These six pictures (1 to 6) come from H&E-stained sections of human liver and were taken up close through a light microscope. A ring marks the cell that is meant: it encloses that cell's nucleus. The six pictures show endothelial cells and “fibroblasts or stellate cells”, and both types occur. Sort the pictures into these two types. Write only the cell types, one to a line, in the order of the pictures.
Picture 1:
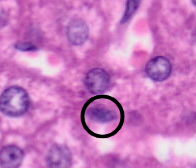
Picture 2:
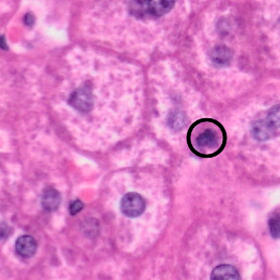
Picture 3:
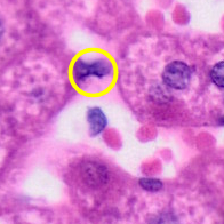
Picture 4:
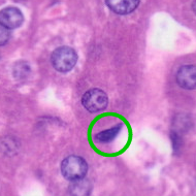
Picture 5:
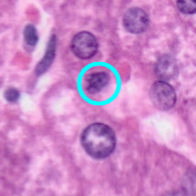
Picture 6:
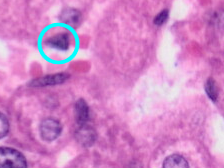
fibroblast or stellate cell
fibroblast or stellate cell
endothelial cell
fibroblast or stellate cell
fibroblast or stellate cell
endothelial cell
